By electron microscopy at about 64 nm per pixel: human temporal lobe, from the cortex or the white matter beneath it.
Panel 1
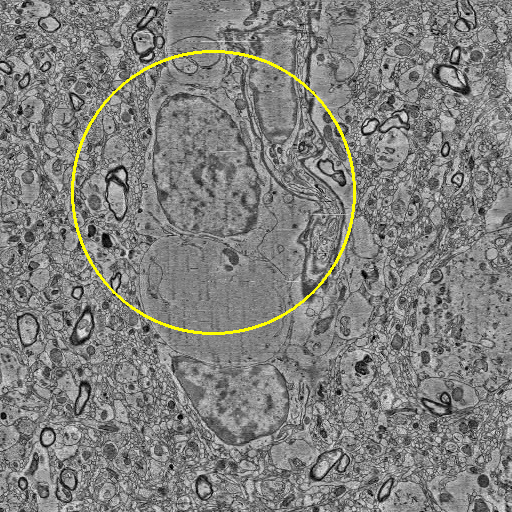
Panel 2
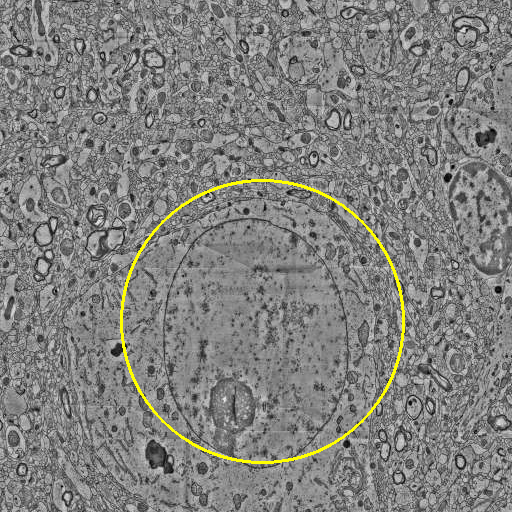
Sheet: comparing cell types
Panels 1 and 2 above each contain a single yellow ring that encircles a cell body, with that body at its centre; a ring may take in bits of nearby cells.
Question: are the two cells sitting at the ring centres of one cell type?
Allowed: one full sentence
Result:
No, the ring-centre cells in Panel 1 and Panel 2 are of two types.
